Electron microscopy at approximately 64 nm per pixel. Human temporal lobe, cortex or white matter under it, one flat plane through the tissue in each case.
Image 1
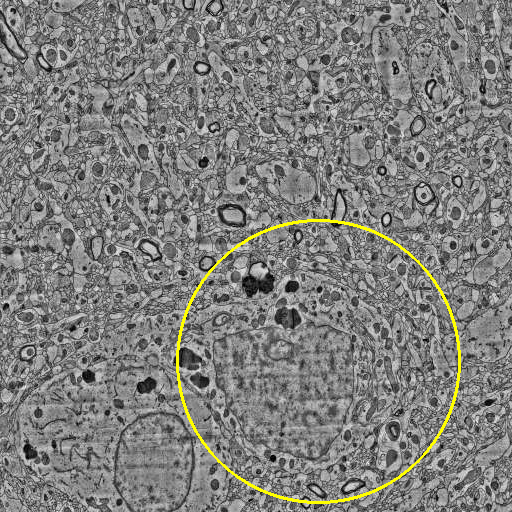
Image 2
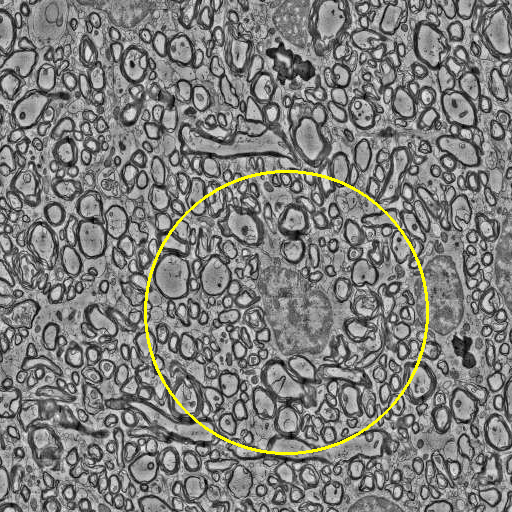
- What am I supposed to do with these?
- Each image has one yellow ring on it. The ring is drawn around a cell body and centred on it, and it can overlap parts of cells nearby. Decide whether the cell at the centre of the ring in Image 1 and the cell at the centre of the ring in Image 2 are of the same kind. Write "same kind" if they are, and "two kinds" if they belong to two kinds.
two kinds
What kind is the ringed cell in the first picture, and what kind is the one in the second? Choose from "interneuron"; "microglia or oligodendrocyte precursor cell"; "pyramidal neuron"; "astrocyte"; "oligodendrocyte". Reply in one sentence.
The first cell is an interneuron; the second is an oligodendrocyte.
